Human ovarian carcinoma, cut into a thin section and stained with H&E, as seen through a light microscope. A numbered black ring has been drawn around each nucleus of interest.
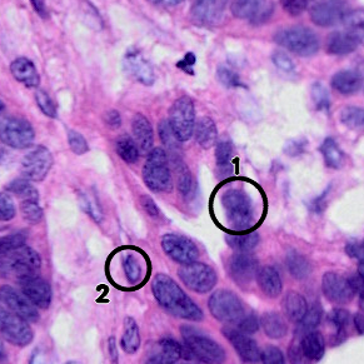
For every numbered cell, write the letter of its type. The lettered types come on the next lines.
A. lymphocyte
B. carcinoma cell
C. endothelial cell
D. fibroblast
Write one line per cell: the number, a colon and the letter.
1: B
2: D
